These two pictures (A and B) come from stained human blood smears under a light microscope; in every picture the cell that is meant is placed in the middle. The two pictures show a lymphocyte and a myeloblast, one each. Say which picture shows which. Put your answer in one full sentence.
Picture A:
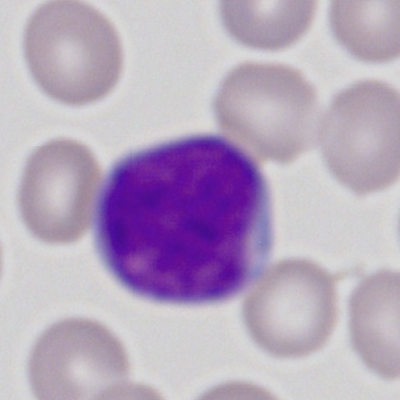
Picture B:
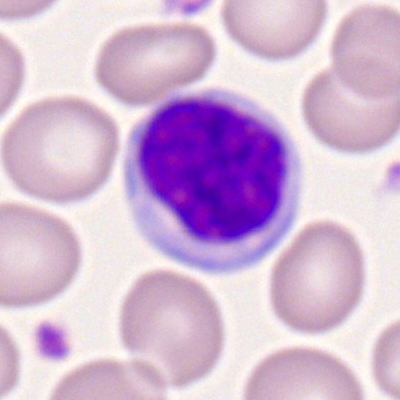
The cell in picture A is a myeloblast, and the one in picture B is a lymphocyte.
